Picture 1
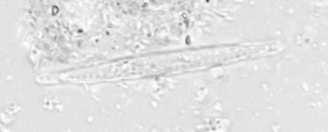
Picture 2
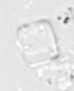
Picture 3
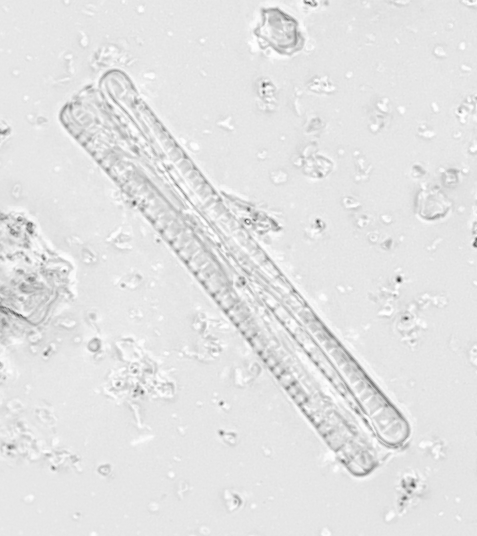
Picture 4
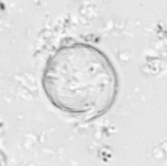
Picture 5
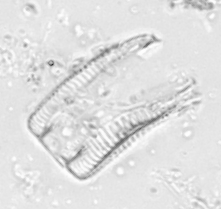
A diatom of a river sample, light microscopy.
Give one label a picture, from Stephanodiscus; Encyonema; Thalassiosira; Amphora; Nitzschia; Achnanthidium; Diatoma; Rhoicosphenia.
Picture 1: Nitzschia
Picture 2: Thalassiosira
Picture 3: Diatoma
Picture 4: Stephanodiscus
Picture 5: Rhoicosphenia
